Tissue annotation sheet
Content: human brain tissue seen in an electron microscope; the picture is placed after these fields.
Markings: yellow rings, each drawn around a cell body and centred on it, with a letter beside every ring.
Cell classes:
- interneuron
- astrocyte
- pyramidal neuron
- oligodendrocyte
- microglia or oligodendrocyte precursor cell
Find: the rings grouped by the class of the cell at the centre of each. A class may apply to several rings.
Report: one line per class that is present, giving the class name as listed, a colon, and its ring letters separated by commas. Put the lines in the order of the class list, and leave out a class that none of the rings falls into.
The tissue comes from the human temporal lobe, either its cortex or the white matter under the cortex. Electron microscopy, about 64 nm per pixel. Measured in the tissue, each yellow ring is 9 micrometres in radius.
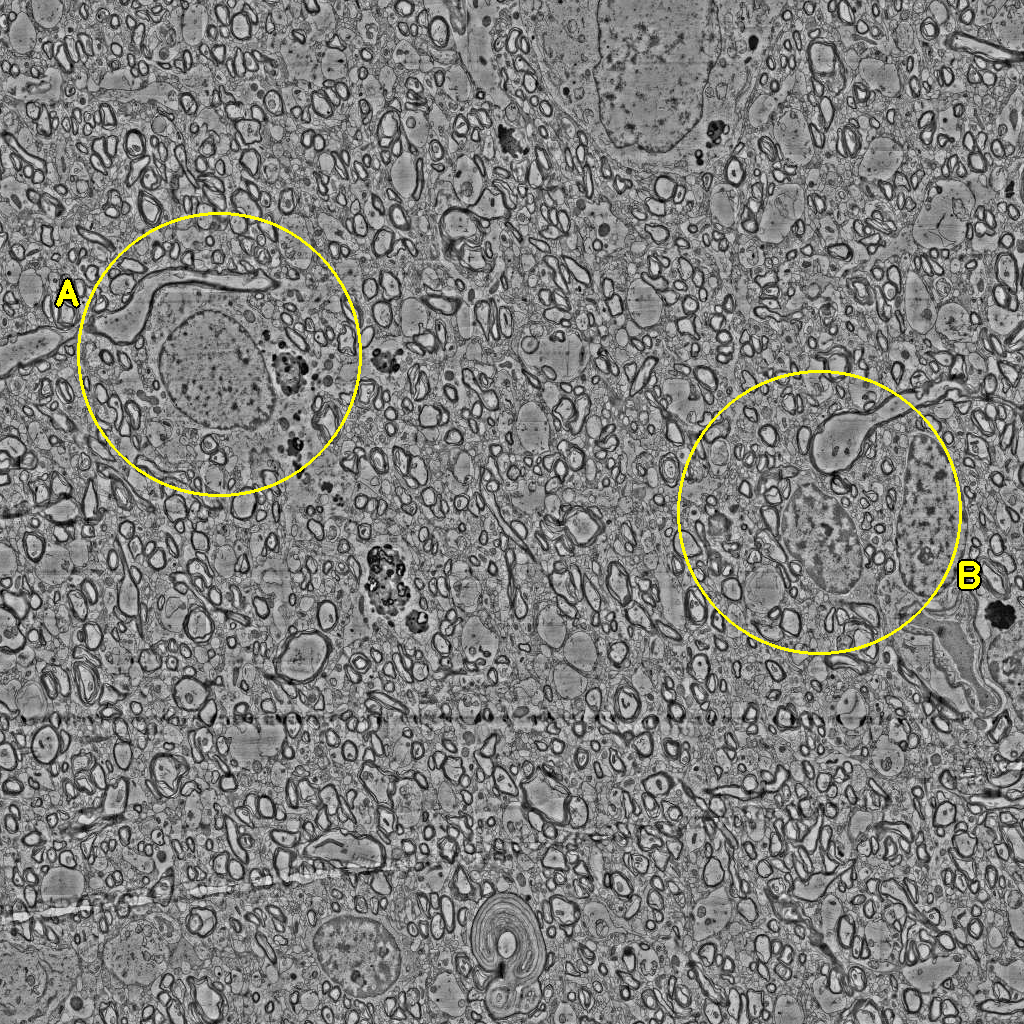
astrocyte: A
oligodendrocyte: B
